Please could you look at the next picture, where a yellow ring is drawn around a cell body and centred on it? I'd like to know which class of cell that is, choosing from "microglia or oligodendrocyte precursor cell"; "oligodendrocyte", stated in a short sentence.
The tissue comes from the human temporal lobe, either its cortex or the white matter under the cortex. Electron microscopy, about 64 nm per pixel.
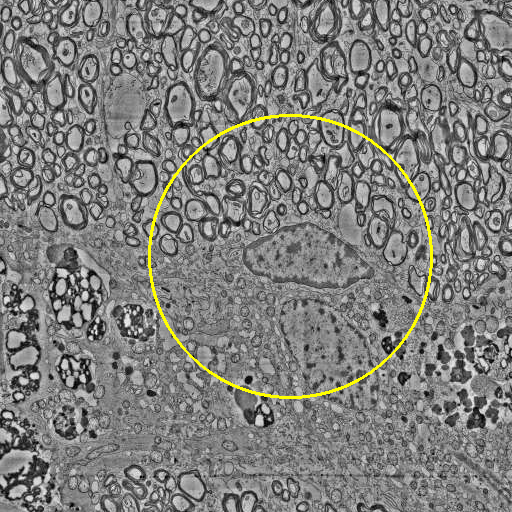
The ring's centre lies on a microglial cell or oligodendrocyte precursor cell.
